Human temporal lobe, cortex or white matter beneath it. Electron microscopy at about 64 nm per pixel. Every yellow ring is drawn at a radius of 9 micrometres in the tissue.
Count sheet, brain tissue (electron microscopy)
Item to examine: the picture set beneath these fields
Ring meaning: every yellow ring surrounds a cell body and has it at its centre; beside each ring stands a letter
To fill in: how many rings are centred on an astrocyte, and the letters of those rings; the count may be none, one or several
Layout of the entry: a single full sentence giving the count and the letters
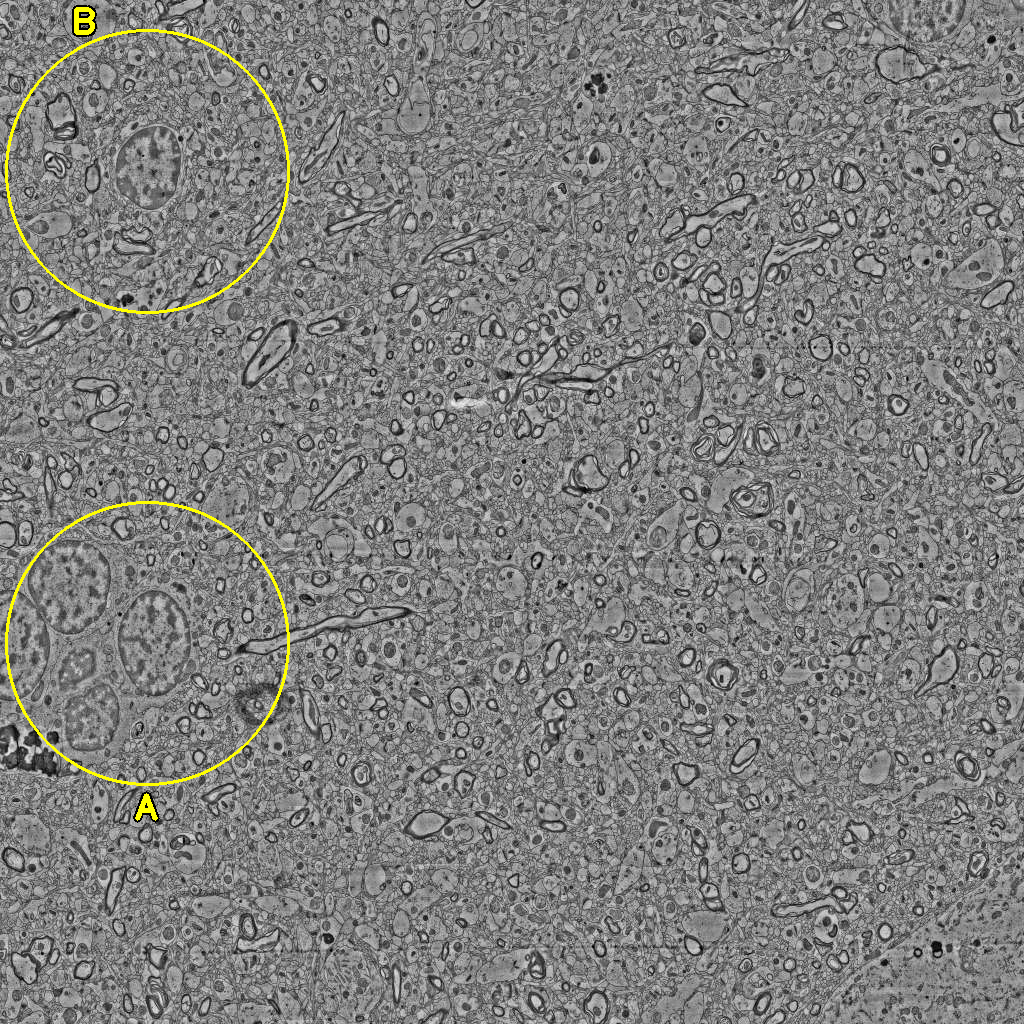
The number of rings centred on an astrocyte is zero.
